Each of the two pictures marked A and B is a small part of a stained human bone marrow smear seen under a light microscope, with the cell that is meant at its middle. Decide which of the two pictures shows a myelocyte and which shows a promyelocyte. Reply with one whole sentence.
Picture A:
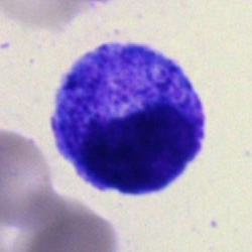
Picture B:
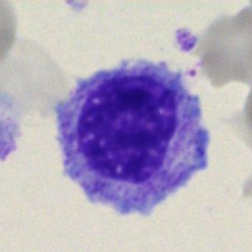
Picture A shows a promyelocyte and picture B shows a myelocyte.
